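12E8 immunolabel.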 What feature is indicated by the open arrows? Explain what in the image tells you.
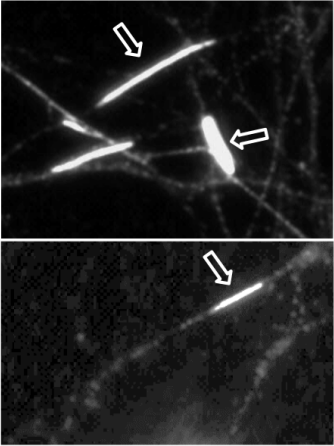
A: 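Intensely bright, straight, elongated bodies stand out against faint beaded processes. One of the marked bodies is thicker and spindle-like. That points to this answer: rods.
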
